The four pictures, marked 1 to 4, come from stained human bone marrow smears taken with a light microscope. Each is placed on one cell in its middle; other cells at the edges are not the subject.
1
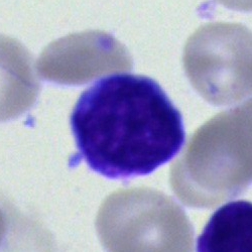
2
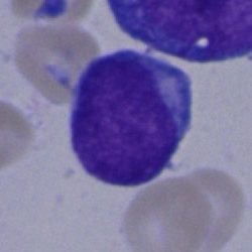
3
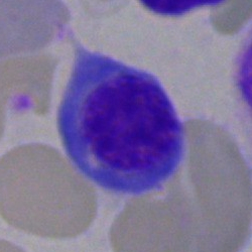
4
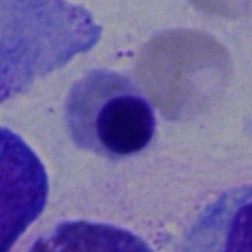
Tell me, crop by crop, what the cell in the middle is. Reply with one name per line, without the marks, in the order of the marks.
blast
blast
normoblast
normoblast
